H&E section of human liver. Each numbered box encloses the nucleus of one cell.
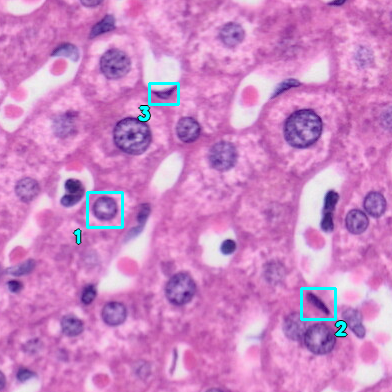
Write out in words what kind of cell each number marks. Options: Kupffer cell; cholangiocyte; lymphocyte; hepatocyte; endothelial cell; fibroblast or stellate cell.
Cell 1 is a hepatocyte. Cell 2 is a fibroblast or stellate cell. Cell 3 is an endothelial cell.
